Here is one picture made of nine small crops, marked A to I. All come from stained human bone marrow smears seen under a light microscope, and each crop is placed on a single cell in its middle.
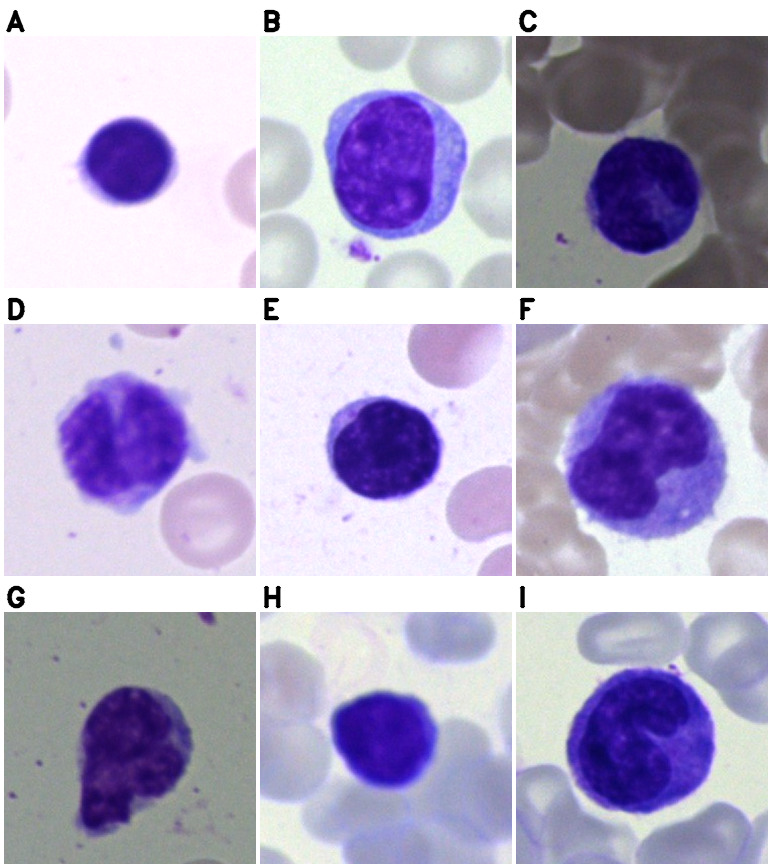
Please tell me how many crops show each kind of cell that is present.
monocyte: 5
lymphocyte: 4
